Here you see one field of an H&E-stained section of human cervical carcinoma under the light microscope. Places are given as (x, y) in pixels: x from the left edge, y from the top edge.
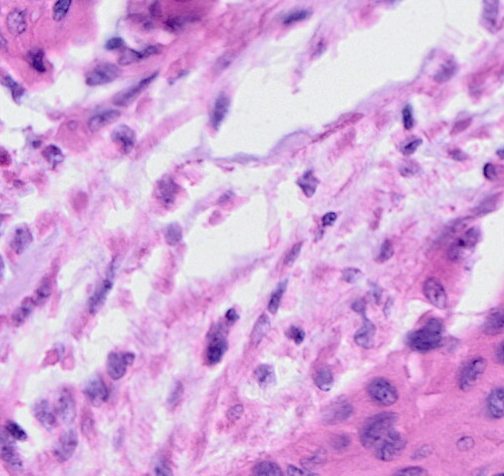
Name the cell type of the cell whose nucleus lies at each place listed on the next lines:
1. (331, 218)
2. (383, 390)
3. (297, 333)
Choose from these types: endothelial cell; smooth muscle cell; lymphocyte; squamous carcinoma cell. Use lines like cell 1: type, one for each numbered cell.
cell 1: lymphocyte
cell 2: squamous carcinoma cell
cell 3: lymphocyte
